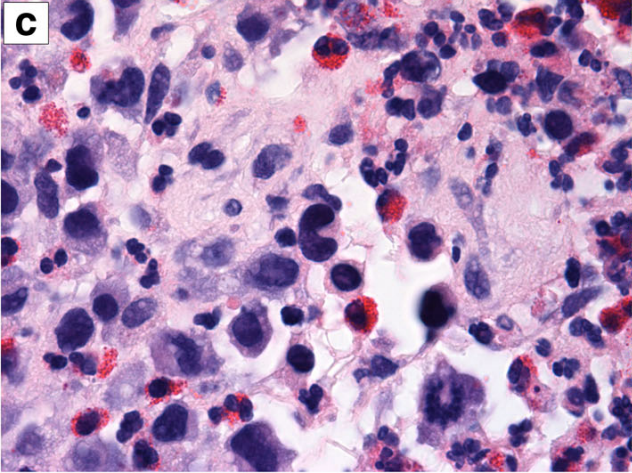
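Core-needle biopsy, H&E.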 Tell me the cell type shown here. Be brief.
Hallmark cells.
